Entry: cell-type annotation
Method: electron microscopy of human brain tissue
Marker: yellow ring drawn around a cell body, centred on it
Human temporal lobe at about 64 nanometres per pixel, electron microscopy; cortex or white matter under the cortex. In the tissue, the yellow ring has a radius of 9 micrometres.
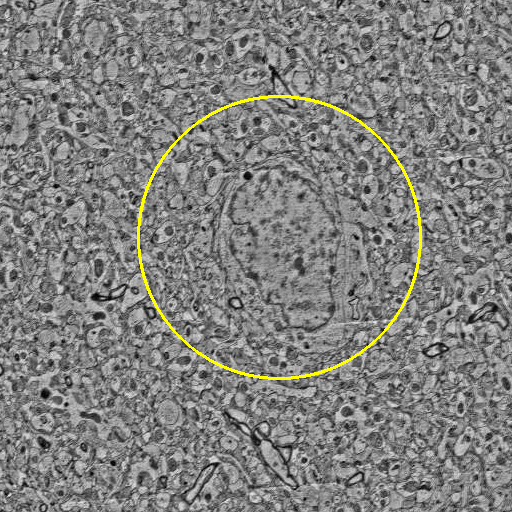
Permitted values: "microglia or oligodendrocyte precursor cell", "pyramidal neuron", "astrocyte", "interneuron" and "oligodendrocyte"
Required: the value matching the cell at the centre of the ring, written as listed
interneuron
